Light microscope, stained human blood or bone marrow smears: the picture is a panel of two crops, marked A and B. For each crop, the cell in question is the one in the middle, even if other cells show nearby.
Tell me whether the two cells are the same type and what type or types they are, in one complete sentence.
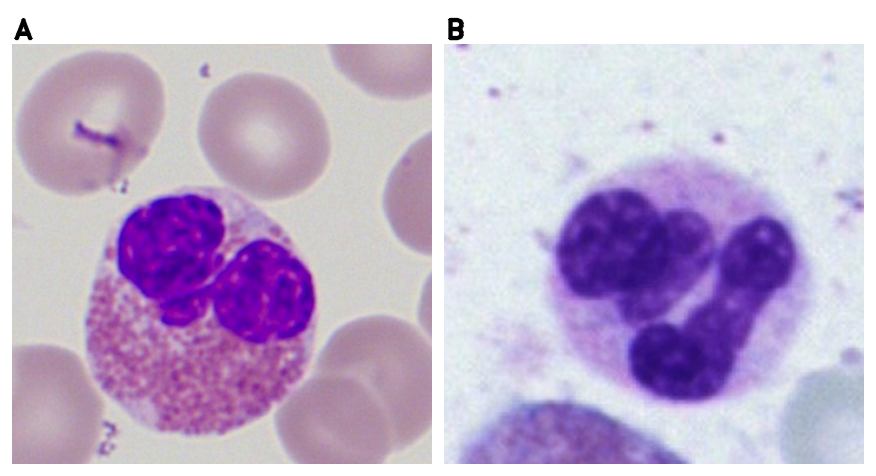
No, crop A corresponds to an eosinophil, while crop B corresponds to a neutrophil.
